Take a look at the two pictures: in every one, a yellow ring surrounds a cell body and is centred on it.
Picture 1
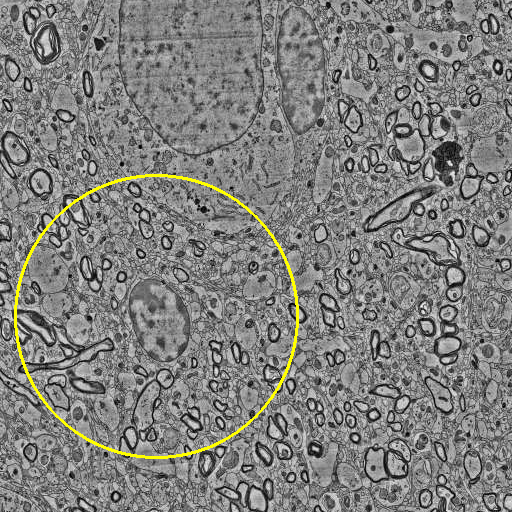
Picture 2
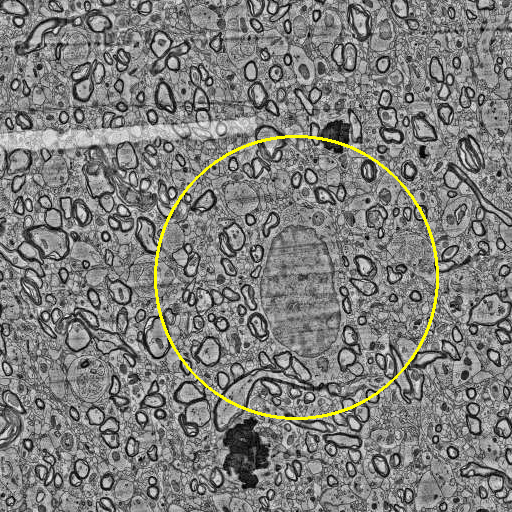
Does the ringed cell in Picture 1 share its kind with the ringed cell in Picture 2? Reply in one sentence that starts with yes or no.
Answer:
No, the two centred cells, one per picture, are of two kinds.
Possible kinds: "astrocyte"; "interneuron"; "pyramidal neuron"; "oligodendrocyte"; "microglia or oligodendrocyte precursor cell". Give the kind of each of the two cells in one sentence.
The cell in the second picture is an oligodendrocyte, and that in the first is a microglial cell or oligodendrocyte precursor cell.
